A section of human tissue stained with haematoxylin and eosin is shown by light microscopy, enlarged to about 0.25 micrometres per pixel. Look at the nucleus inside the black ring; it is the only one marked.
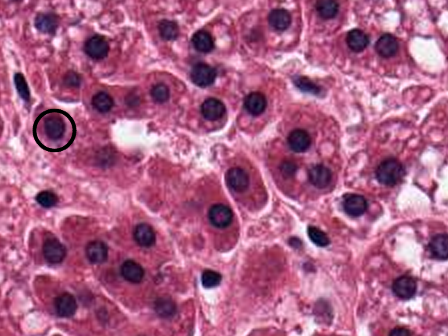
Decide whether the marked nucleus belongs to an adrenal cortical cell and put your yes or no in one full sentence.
Yes, an adrenal cortical cell is the cell that the marked nucleus belongs to.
